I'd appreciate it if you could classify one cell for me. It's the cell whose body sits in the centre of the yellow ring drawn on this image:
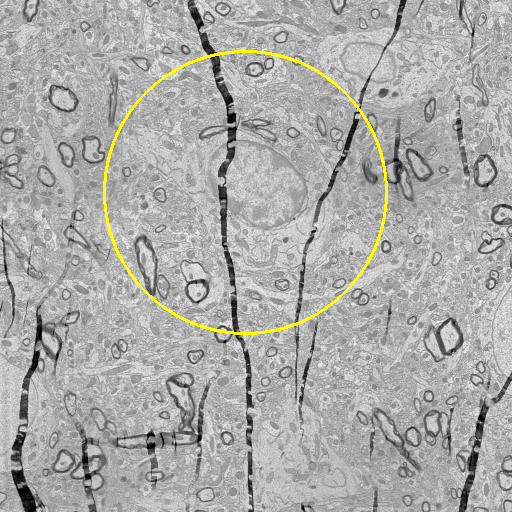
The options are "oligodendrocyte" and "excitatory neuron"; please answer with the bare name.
oligodendrocyte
